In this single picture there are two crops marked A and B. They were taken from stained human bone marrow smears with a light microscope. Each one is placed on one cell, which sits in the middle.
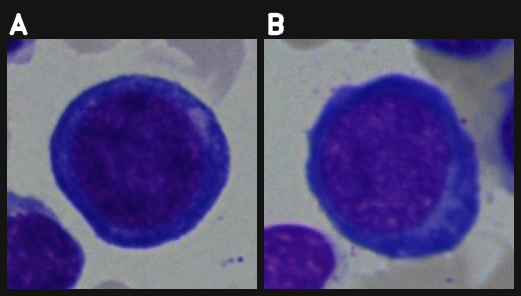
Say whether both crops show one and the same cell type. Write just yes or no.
yes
